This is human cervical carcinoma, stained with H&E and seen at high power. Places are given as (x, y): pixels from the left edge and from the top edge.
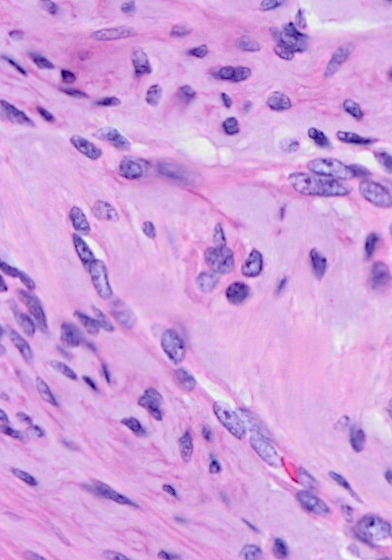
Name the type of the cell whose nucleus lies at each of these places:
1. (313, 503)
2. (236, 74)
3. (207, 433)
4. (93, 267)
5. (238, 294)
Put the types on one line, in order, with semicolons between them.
endothelial cell; smooth muscle cell; smooth muscle cell; endothelial cell; lymphocyte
